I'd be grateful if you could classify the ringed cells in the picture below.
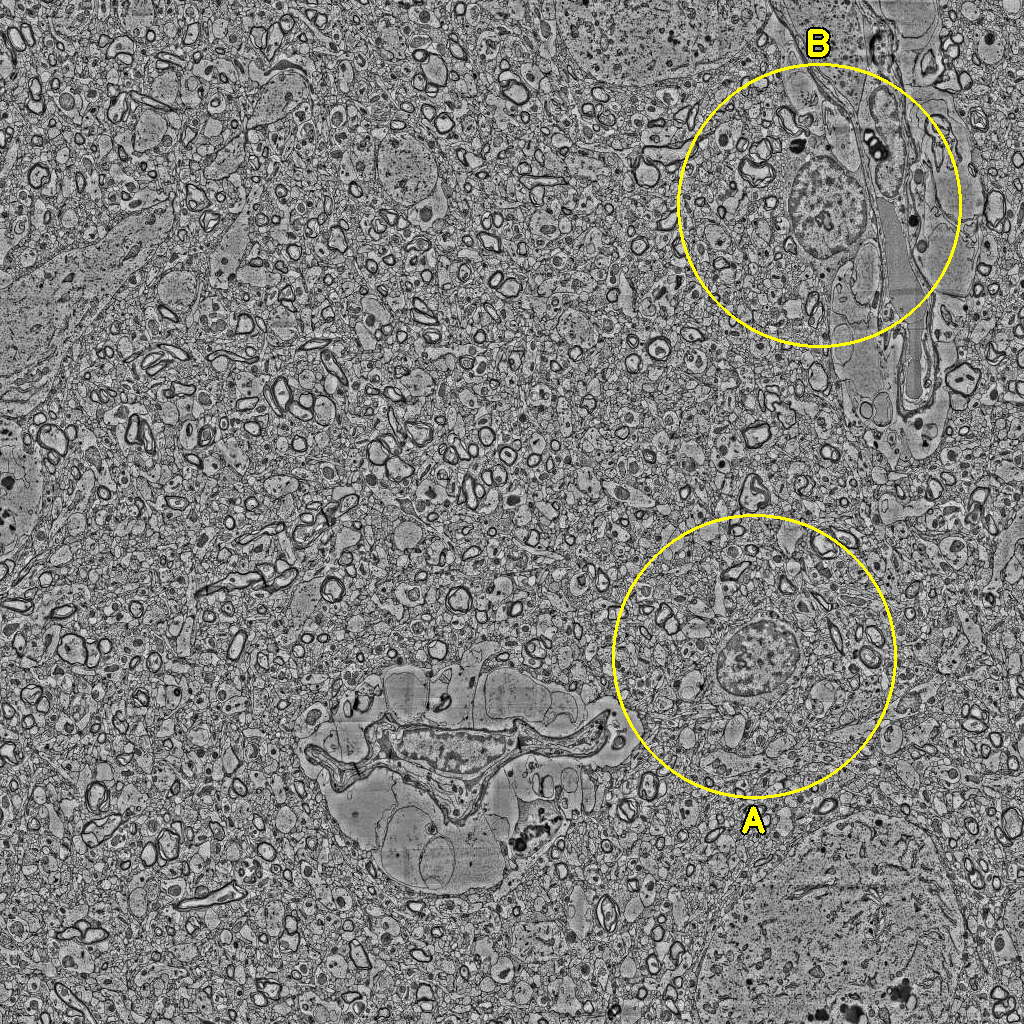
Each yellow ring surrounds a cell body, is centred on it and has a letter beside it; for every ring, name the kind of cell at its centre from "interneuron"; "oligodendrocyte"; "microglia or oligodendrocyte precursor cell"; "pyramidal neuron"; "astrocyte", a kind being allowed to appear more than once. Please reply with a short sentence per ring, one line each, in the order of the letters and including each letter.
In ring A we have an oligodendrocyte.
In ring B we have an oligodendrocyte.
